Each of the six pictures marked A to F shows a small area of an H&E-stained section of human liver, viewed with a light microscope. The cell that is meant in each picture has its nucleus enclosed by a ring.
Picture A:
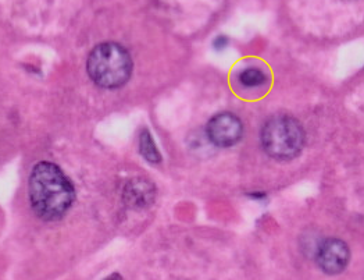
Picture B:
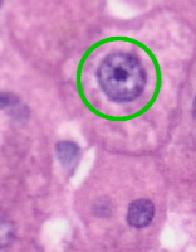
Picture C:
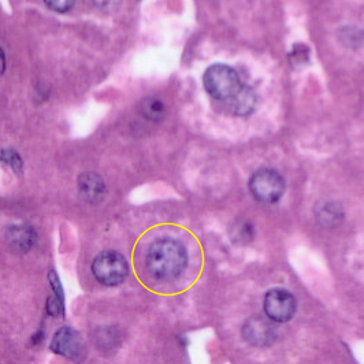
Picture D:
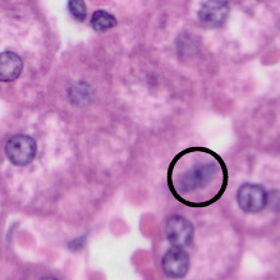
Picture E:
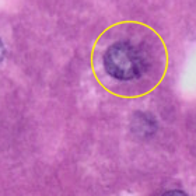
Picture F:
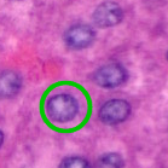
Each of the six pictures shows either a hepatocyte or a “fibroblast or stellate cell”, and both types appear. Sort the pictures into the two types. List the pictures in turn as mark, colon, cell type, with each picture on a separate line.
A: fibroblast or stellate cell
B: hepatocyte
C: hepatocyte
D: fibroblast or stellate cell
E: hepatocyte
F: hepatocyte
